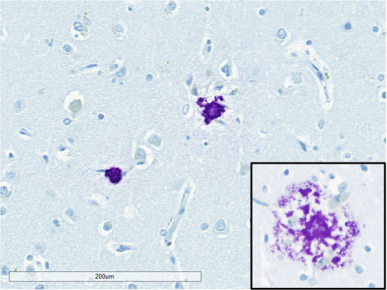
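This field of cortex is mostly pale blue neuropil with scattered blue-grey nuclei and a few thin vessel profiles, and only two small purple deposits. These deposits are compact and intensely stained, without a wide surrounding halo. The framed inset shows a single rounded plaque whose denser centre is surrounded by an irregular, fragmented rim of patchy purple material.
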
